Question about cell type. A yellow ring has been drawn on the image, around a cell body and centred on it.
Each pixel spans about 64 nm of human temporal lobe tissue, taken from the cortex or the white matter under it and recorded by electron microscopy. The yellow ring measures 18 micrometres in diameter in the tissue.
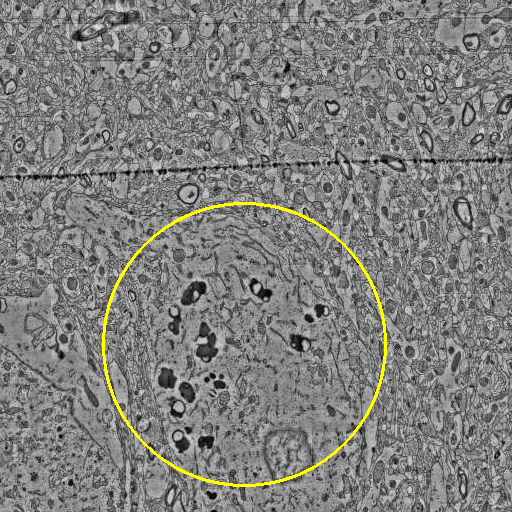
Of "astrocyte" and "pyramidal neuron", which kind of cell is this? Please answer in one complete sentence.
At the centre of the ring lies a pyramidal neuron.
